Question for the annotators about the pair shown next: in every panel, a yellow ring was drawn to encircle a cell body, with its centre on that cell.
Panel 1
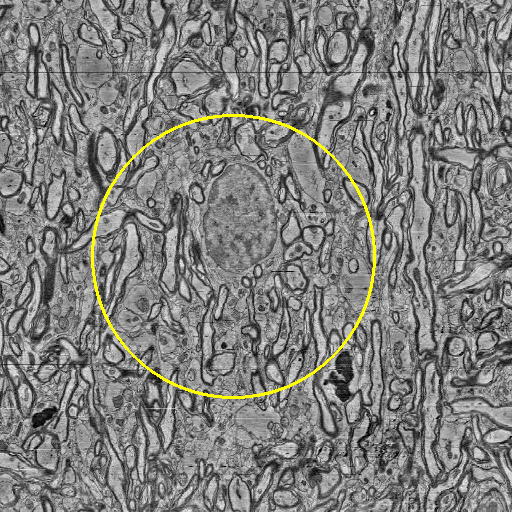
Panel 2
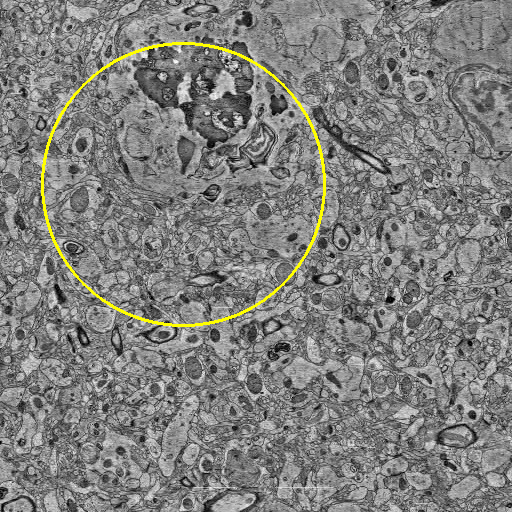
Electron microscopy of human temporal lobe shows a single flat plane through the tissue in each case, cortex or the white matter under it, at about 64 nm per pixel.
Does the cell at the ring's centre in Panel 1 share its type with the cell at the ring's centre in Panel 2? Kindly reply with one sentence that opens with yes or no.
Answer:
No, in Panels 1 and 2 the cells at the ring centres belong to separate types.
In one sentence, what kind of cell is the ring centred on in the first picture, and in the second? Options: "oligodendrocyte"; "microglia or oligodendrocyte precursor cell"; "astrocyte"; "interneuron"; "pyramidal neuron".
The cell at the centre of the second ring is an astrocyte; the first ring's cell is an oligodendrocyte.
